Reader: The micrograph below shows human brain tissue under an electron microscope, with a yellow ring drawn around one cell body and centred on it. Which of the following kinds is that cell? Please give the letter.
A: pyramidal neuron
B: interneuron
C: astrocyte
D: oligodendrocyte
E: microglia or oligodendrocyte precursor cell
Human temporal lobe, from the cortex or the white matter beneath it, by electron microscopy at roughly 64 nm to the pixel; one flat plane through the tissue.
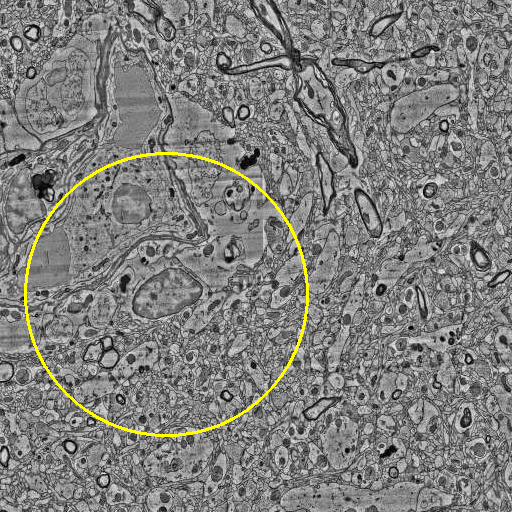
E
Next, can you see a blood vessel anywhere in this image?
Yes, a blood vessel can be seen.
